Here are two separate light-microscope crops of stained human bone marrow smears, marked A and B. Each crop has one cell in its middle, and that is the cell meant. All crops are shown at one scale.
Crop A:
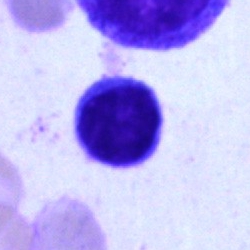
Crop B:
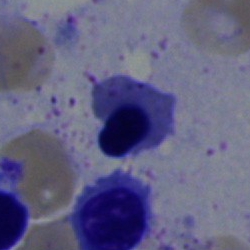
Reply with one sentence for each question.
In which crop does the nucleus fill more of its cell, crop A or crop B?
The nucleus fills more of the cell in crop A than in crop B.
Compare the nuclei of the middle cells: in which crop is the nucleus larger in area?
The nucleus in crop A is larger, with about 3 times the area of the one in crop B.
